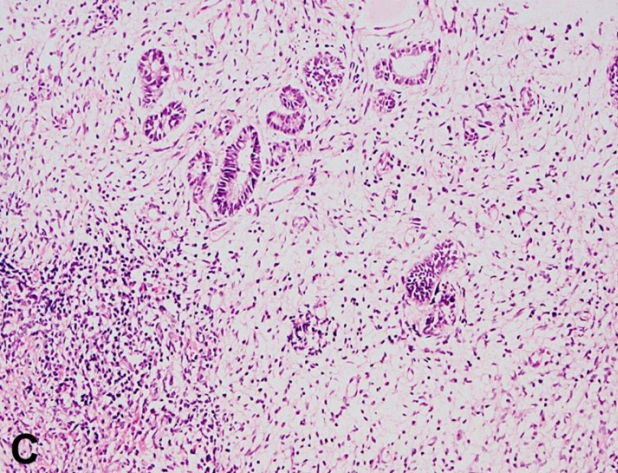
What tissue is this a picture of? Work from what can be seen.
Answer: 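Small tubules lined by columnar cells with crowded dark nuclei. Tubules sit in a loose pale stroma of spindle and stellate cells. The answer: epithelial and mesenchymal elements.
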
